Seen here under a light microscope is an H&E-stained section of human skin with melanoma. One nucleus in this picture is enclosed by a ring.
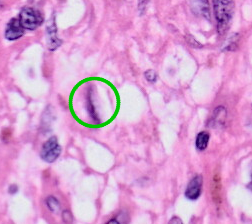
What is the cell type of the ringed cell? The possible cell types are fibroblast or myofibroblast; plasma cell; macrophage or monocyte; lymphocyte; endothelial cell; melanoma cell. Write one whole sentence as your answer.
In this preparation, the ringed cell is a fibroblast or myofibroblast.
